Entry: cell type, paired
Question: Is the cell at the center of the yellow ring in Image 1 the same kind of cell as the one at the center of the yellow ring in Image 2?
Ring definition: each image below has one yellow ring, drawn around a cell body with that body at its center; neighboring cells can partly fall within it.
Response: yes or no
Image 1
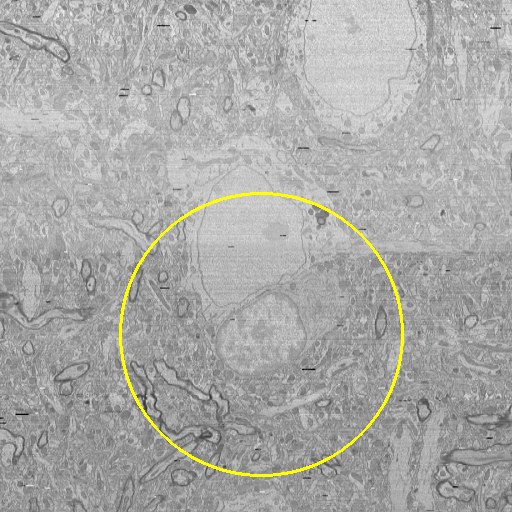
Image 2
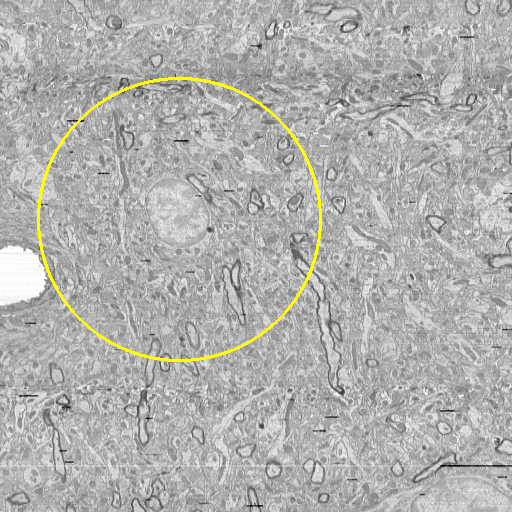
yes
